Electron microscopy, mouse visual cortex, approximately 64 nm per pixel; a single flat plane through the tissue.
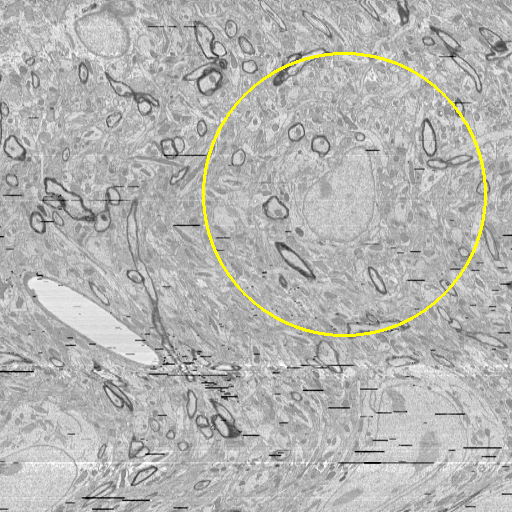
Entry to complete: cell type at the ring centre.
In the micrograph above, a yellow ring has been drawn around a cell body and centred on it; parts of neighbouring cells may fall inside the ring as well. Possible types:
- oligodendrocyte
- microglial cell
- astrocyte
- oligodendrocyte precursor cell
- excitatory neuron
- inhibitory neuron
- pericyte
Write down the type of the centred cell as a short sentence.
The ring is centred on an oligodendrocyte precursor cell.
